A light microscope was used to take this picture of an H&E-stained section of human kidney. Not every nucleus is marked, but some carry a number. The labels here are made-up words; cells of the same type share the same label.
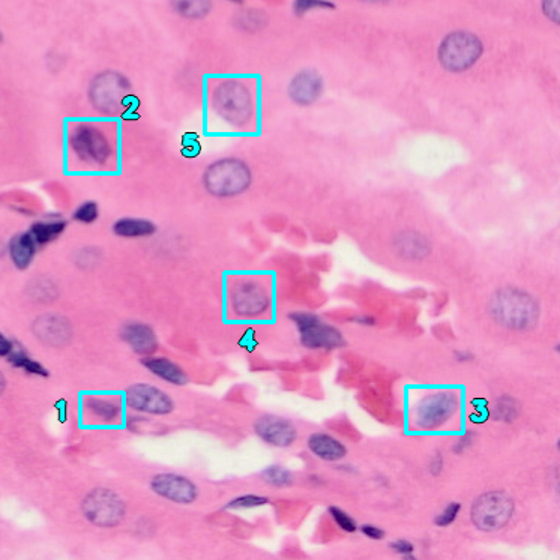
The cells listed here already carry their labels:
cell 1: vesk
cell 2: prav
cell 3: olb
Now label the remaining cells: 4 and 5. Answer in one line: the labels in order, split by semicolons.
prav; prav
